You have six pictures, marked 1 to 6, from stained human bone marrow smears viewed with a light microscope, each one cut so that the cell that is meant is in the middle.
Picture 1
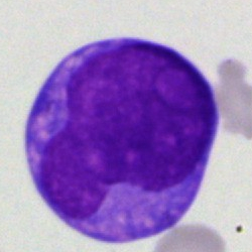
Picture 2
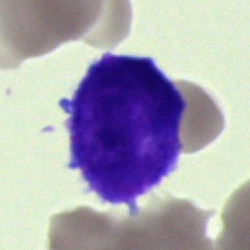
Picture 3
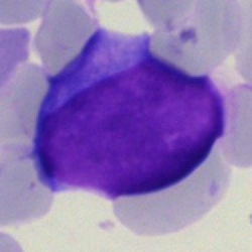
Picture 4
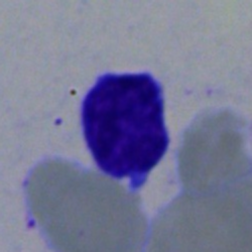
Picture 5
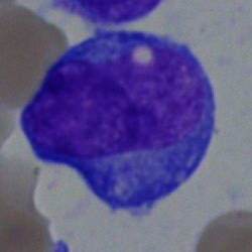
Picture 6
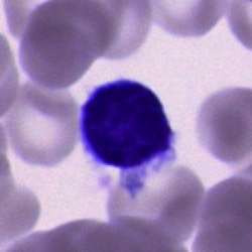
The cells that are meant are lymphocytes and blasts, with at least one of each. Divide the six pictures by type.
1: blast
2: blast
3: blast
4: lymphocyte
5: blast
6: lymphocyte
